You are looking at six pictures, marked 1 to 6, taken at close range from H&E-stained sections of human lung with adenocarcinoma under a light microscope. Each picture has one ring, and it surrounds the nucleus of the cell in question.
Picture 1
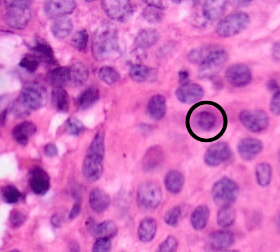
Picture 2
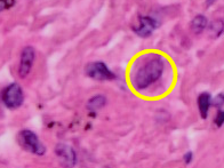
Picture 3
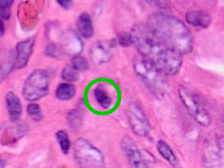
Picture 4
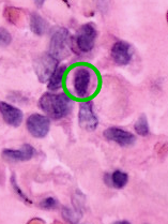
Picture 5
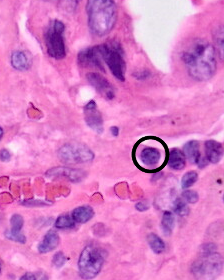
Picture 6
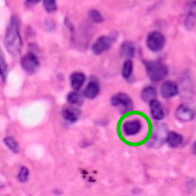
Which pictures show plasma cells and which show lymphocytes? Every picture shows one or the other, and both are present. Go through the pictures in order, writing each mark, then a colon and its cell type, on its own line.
1: plasma cell
2: plasma cell
3: lymphocyte
4: plasma cell
5: lymphocyte
6: lymphocyte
